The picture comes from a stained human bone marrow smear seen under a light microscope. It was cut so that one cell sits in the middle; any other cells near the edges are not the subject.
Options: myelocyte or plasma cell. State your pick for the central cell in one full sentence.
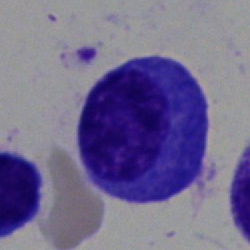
Present in the middle of the crop is a plasma cell.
